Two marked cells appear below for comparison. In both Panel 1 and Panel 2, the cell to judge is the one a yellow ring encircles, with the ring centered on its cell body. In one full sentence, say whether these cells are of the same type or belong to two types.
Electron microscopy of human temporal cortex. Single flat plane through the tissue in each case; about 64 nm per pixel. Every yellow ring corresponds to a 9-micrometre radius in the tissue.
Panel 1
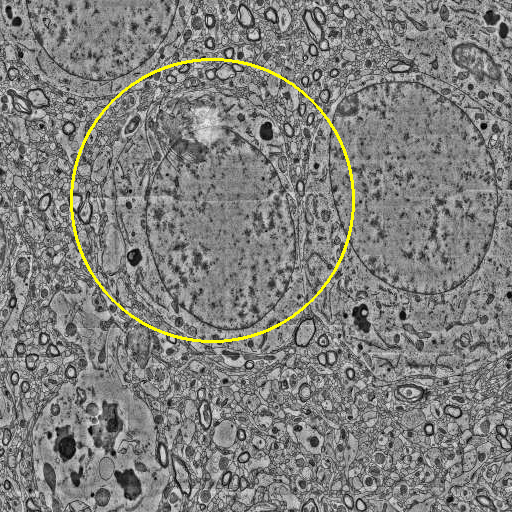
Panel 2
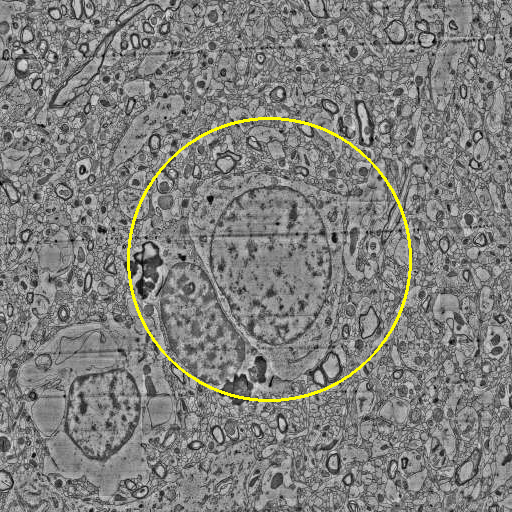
The cell centered in the Panel 1 ring and the one in Panel 2 belong to two types.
